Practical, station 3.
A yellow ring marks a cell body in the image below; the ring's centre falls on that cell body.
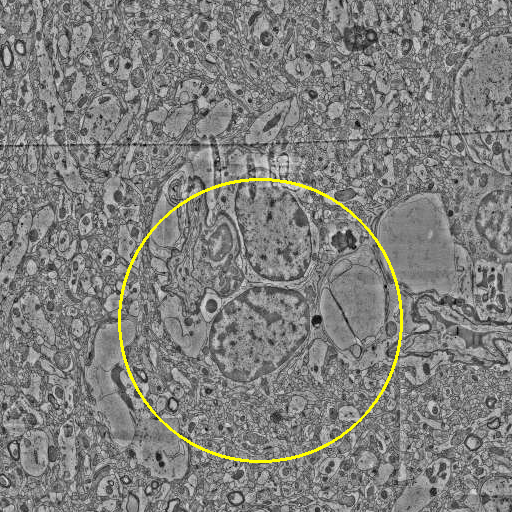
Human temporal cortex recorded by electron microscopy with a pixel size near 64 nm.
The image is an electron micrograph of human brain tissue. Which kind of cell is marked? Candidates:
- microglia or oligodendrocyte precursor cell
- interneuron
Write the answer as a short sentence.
The marked cell body is that of a microglial cell or oligodendrocyte precursor cell.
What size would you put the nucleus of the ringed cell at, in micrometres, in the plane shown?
About 6 micrometres across in this plane.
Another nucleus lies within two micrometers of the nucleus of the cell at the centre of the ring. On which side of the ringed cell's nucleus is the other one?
That second nucleus is above it.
